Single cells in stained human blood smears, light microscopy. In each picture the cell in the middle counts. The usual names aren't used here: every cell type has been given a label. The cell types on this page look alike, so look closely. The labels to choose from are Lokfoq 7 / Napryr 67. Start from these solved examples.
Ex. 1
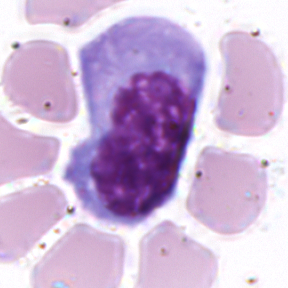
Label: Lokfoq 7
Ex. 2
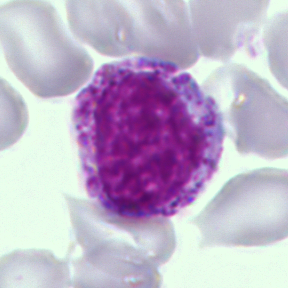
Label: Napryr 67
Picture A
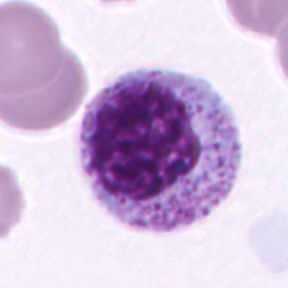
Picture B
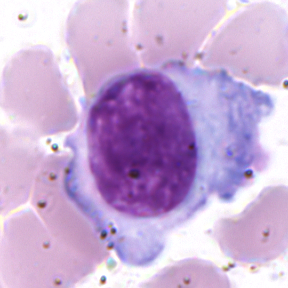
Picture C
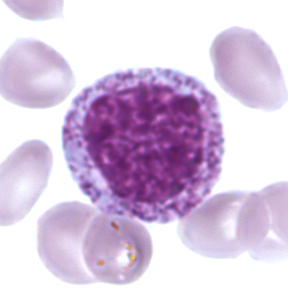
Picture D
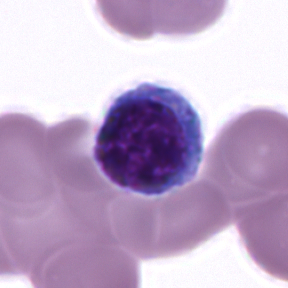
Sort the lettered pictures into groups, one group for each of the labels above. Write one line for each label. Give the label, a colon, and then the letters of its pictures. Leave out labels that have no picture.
Lokfoq 7: B, D
Napryr 67: A, C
